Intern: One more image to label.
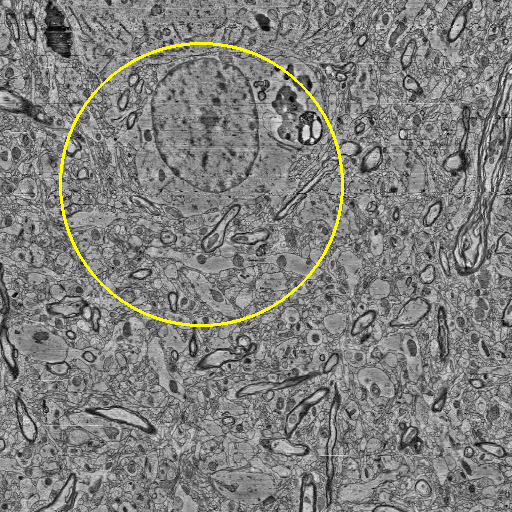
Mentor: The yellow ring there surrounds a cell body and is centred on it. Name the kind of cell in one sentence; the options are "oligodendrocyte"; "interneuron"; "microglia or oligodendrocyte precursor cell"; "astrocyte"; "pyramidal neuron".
The ring marks the cell body of an astrocyte.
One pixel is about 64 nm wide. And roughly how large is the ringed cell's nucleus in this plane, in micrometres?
In this plane the nucleus measures roughly 9 by 7 micrometres.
